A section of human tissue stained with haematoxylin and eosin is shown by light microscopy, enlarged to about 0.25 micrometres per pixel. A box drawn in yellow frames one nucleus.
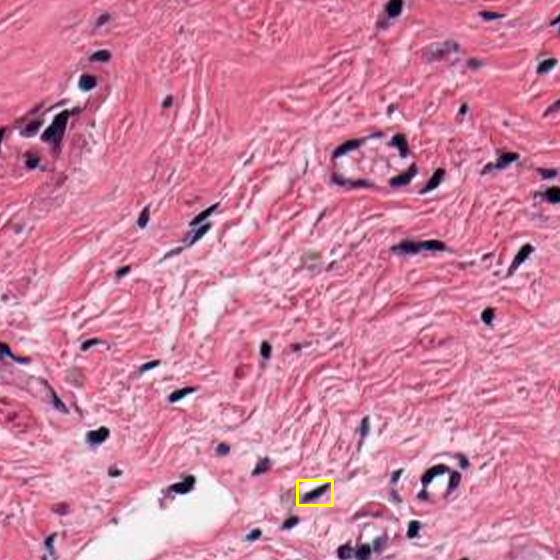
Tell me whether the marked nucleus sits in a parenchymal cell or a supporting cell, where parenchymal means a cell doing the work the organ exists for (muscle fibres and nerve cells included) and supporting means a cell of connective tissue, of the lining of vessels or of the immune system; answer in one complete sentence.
Identified as a supporting cell is the cell holding the marked nucleus.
